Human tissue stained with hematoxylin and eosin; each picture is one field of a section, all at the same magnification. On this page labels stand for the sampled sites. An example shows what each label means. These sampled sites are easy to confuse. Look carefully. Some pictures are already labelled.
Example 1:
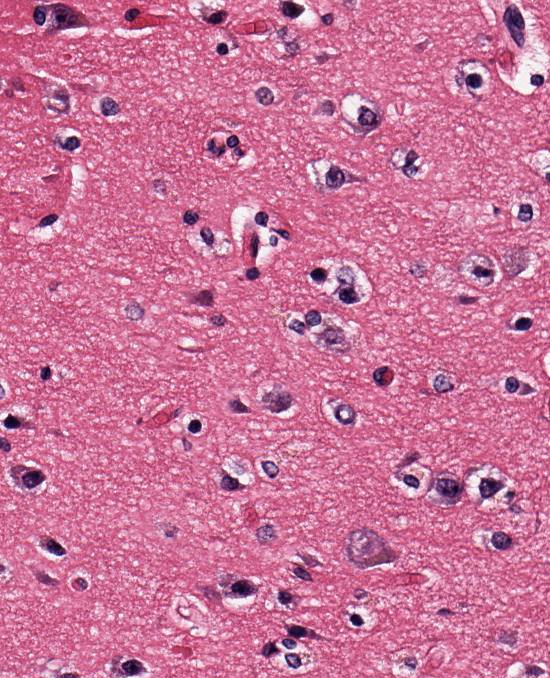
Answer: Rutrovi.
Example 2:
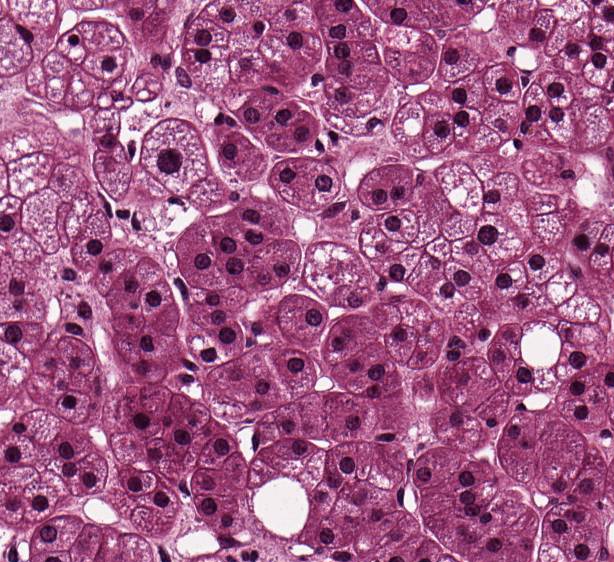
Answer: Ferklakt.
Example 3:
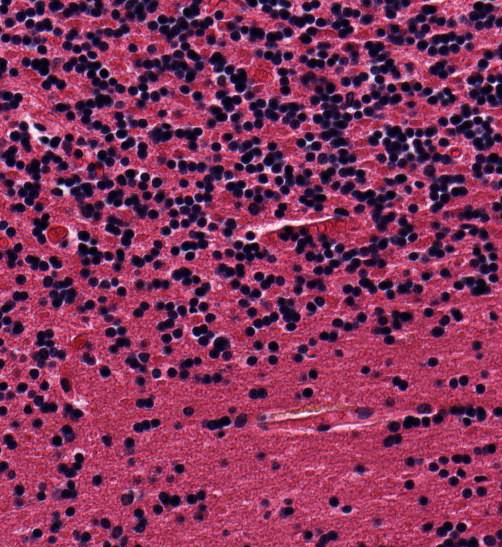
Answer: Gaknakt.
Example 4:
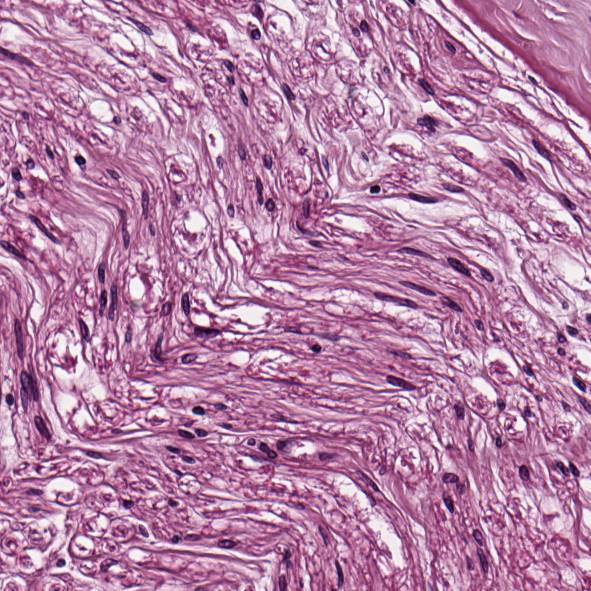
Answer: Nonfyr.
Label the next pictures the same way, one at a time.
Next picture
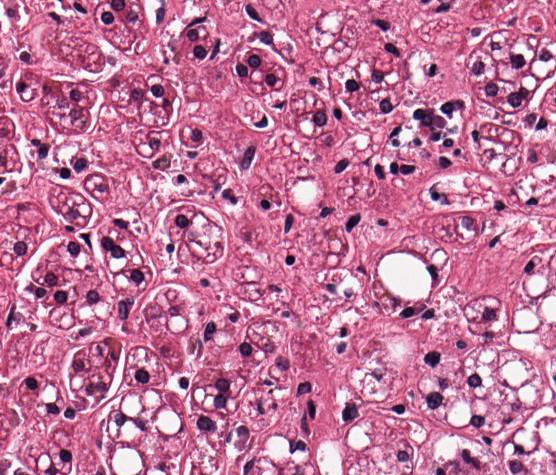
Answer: Ferklakt.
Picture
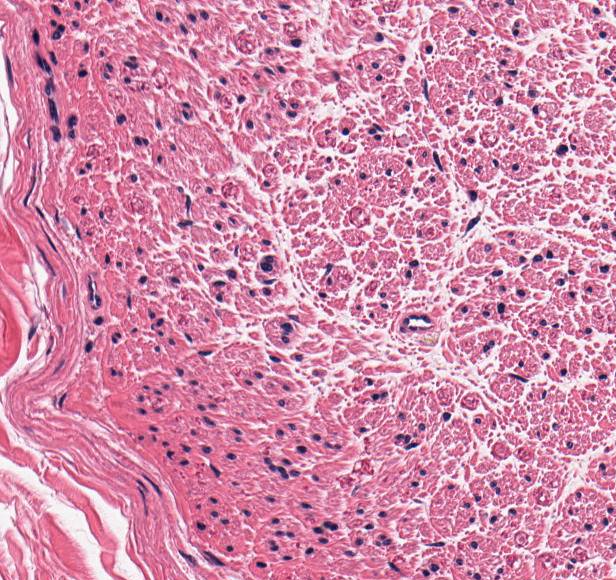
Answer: Nonfyr.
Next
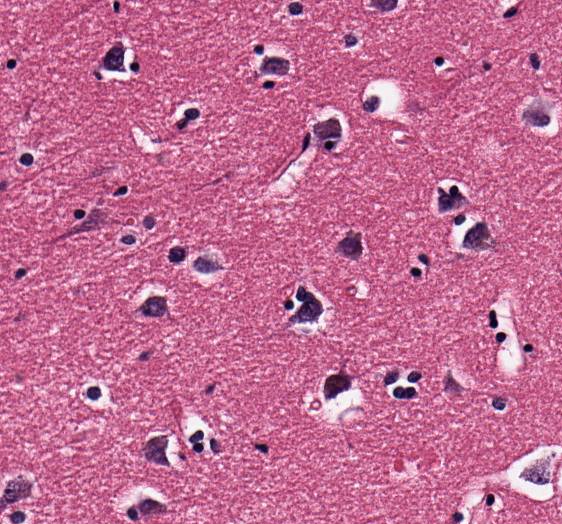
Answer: Rutrovi.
